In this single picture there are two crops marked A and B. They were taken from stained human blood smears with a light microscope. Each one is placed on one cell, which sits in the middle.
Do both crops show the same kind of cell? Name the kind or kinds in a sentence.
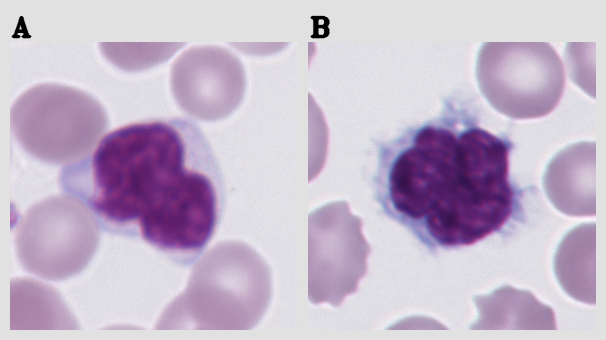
No, a large granular lymphocyte and a hairy cell are found in crop A and crop B, respectively.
